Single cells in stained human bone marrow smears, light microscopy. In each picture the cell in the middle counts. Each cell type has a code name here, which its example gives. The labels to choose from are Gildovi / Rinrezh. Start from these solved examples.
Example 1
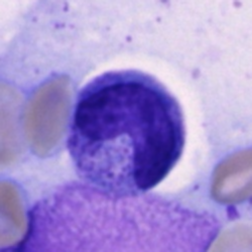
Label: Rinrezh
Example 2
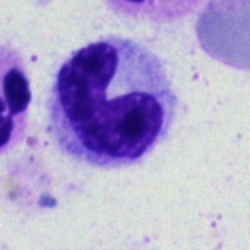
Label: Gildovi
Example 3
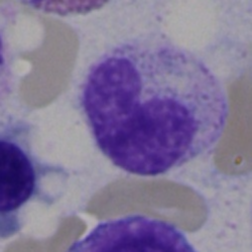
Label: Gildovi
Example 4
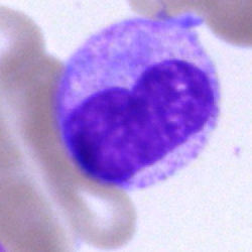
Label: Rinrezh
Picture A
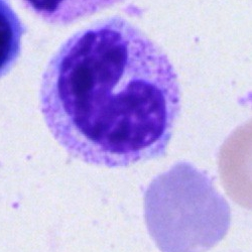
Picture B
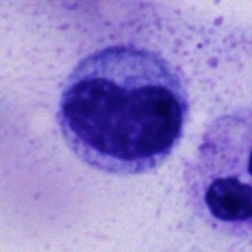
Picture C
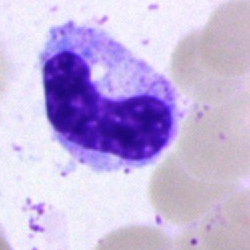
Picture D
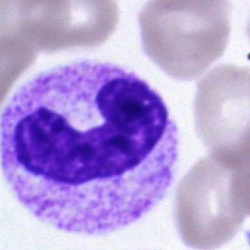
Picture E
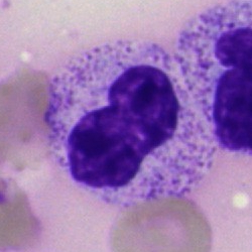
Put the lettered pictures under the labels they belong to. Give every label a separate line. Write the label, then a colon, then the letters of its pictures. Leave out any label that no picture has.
Gildovi: C, D
Rinrezh: A, B, E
